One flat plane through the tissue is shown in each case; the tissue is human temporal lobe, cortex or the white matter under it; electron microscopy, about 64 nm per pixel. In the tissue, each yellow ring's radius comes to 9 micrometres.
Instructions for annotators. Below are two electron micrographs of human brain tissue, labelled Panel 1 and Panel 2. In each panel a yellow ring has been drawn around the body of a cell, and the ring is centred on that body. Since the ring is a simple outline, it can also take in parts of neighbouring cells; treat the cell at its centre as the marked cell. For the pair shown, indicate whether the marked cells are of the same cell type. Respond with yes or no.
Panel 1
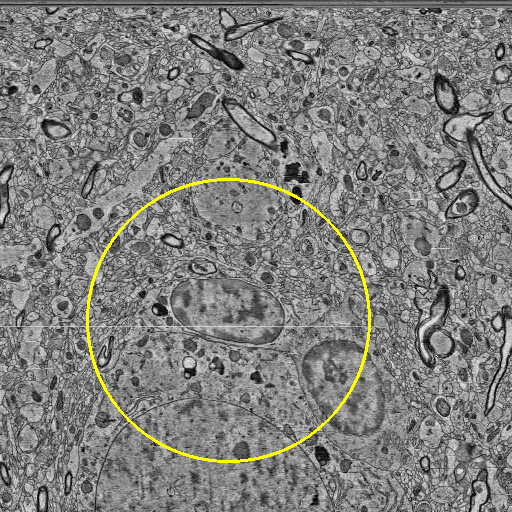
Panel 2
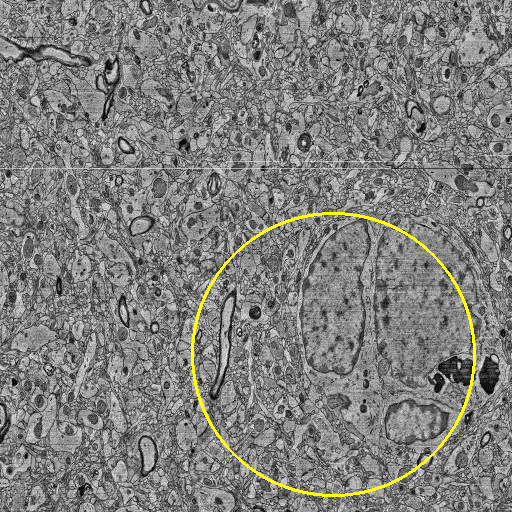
yes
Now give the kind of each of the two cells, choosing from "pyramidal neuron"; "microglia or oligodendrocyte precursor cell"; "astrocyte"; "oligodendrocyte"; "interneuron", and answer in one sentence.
Each of the two cells is a microglial cell or oligodendrocyte precursor cell.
